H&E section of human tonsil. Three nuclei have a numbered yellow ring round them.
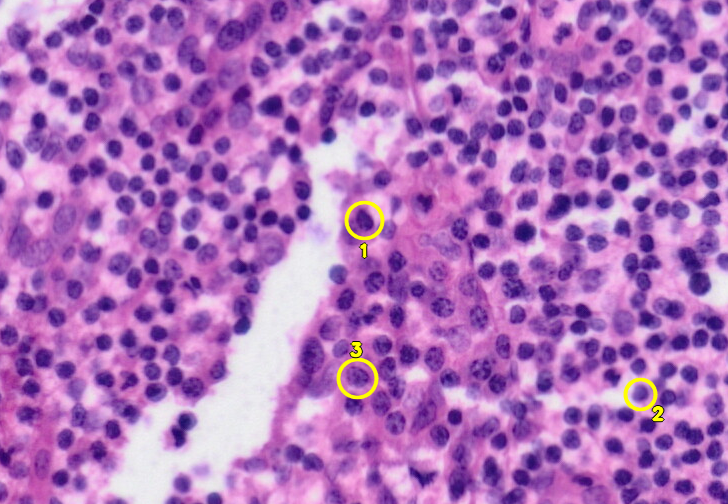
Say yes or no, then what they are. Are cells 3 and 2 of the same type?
No, that is not right: cell 3 is a plasma cell and cell 2 is a small lymphocyte.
